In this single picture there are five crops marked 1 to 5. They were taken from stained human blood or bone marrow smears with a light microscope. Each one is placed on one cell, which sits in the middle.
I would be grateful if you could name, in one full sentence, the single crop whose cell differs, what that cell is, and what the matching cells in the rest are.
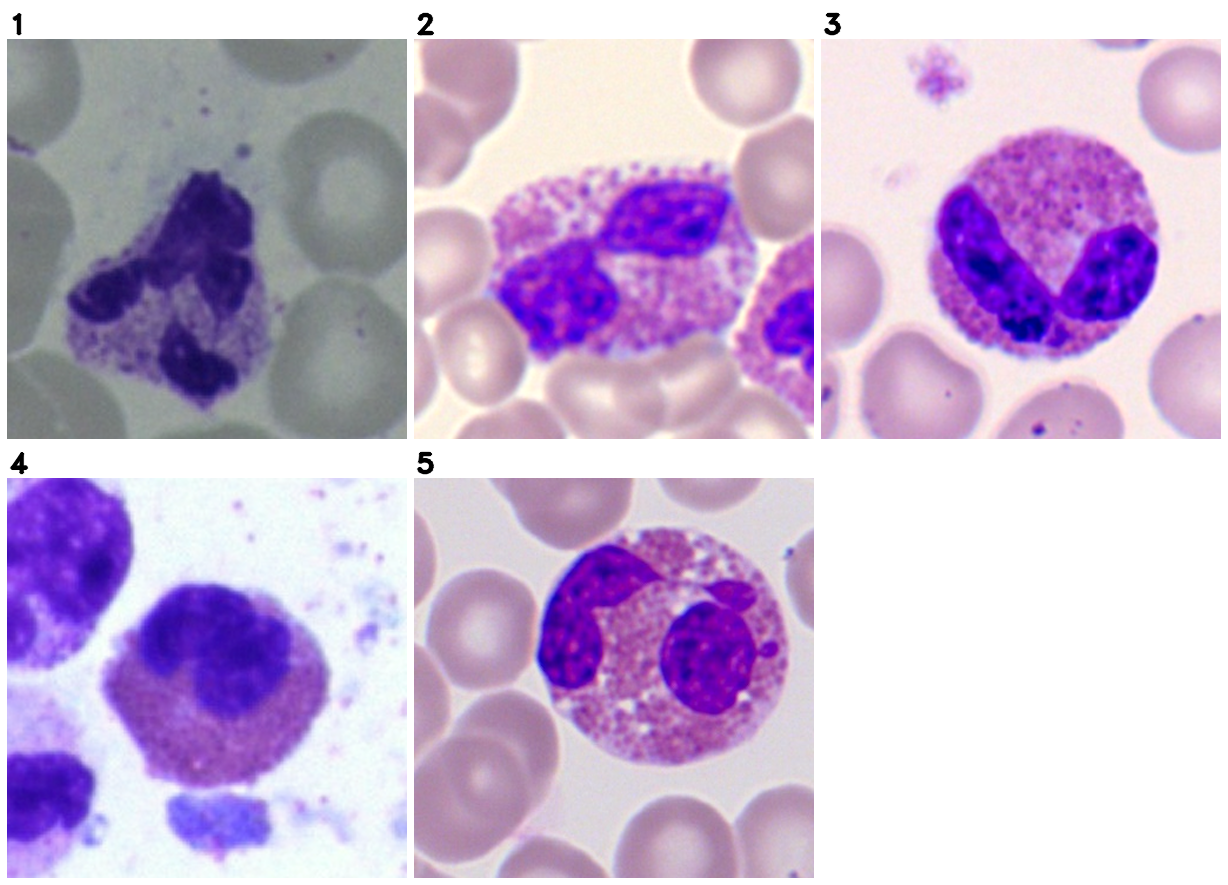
In this set, all crops show eosinophils apart from crop 1, which is a neutrophil.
